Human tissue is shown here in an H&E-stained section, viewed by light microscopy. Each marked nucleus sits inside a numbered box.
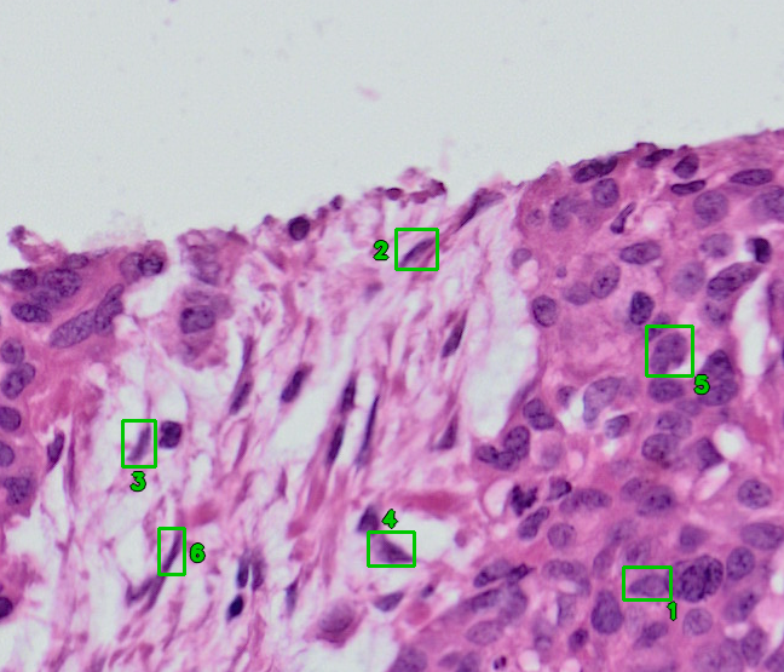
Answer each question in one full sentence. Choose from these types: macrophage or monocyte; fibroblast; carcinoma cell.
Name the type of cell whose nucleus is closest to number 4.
Number 4 lies closest to the nucleus of a fibroblast.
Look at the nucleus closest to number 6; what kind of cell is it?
The cell nearest to number 6 is a fibroblast.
